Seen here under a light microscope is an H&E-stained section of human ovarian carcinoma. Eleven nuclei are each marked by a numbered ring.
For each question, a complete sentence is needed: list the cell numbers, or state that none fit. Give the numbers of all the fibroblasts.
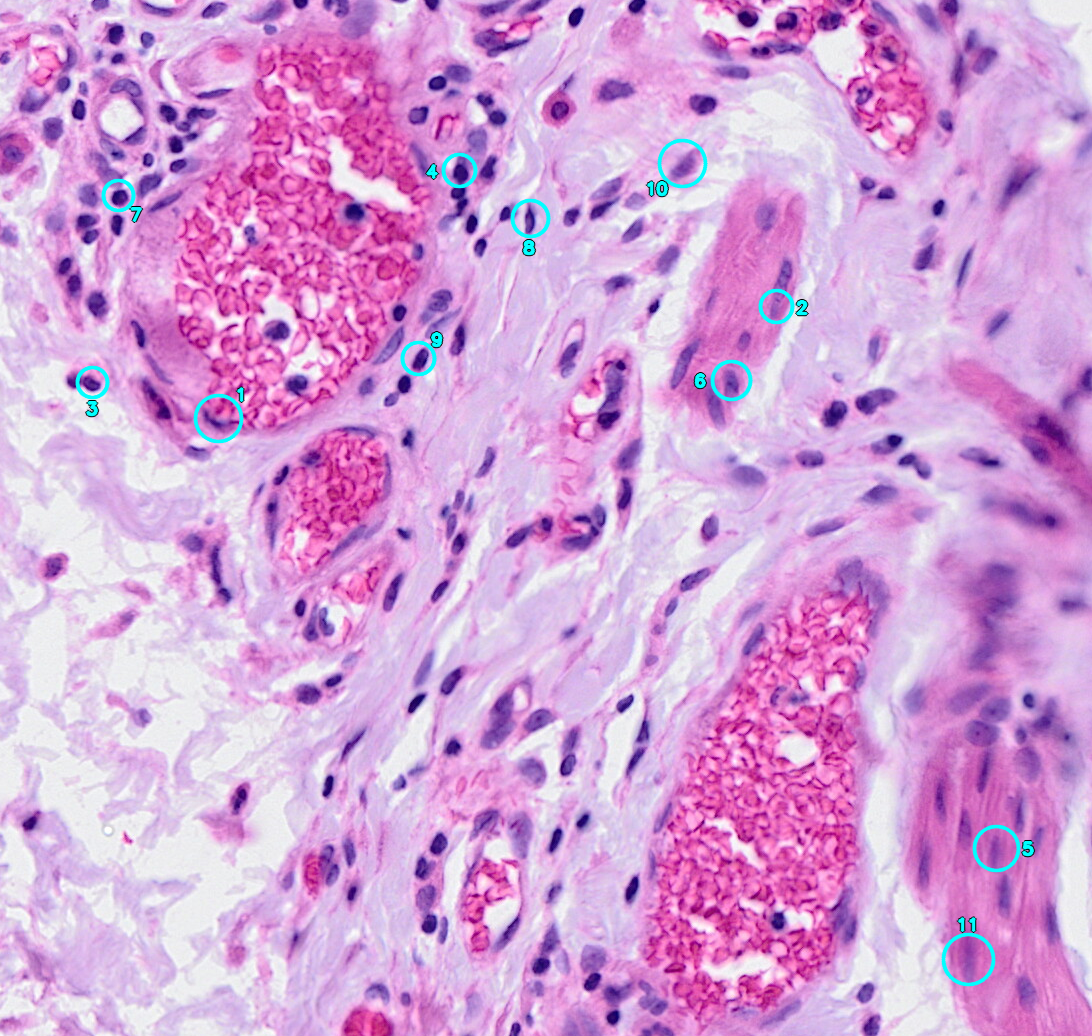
The cells marked with the numbers 8 and 10 are fibroblasts.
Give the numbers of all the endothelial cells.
Of those with numbers, only cell 1 is an endothelial cell.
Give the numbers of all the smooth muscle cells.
Marked by the numbers 2, 5, 6 and 11 are cells that are smooth muscle cells.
